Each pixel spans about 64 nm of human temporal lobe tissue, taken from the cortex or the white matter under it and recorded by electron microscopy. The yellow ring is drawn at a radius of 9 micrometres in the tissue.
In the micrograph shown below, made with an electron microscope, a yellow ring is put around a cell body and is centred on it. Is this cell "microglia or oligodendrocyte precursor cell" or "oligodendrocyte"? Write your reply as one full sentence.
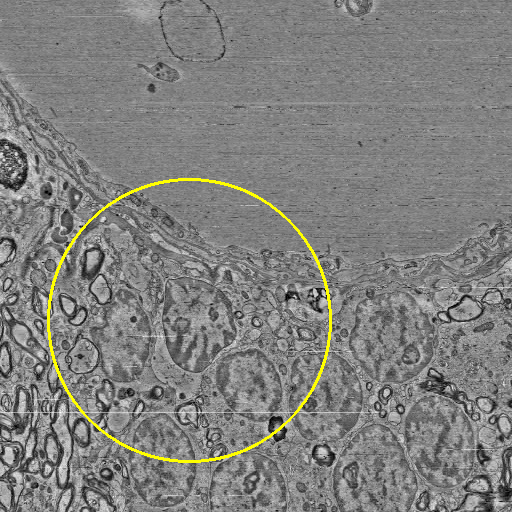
In the micrograph, a microglial cell or oligodendrocyte precursor cell is the cell at the centre of the yellow ring.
